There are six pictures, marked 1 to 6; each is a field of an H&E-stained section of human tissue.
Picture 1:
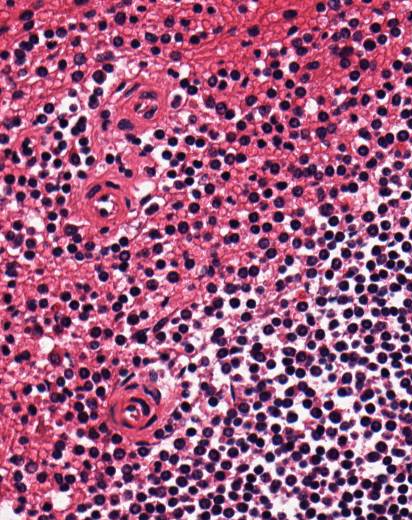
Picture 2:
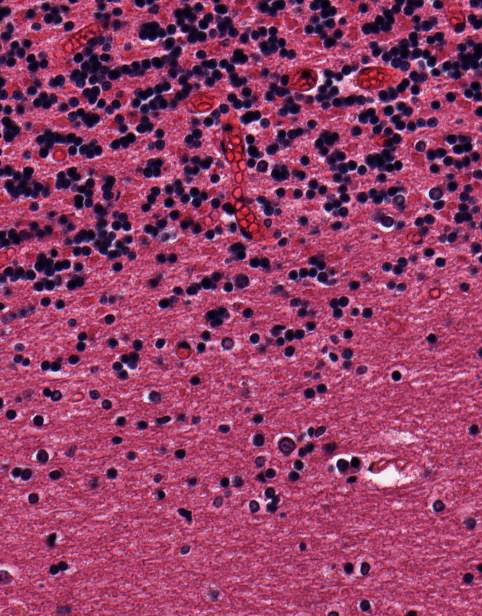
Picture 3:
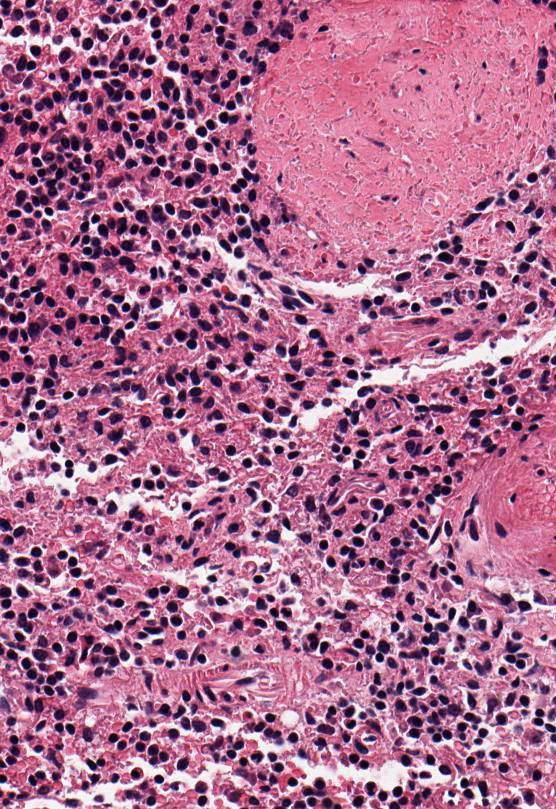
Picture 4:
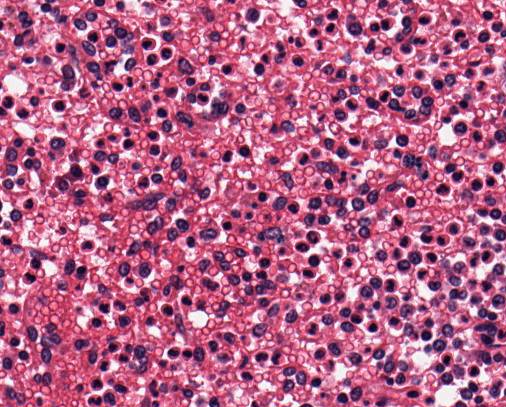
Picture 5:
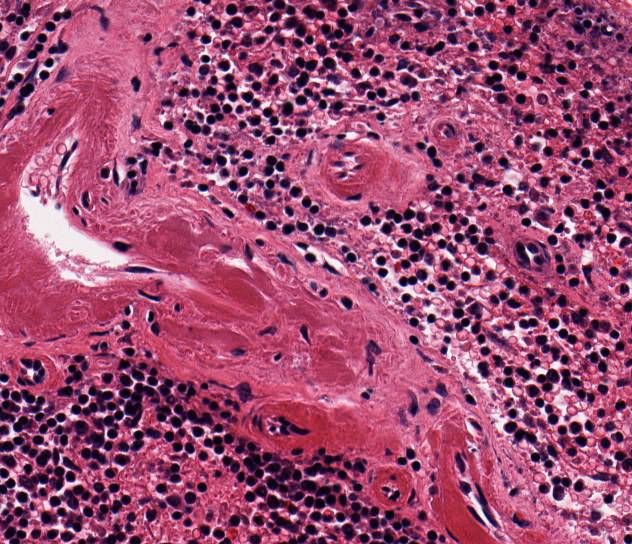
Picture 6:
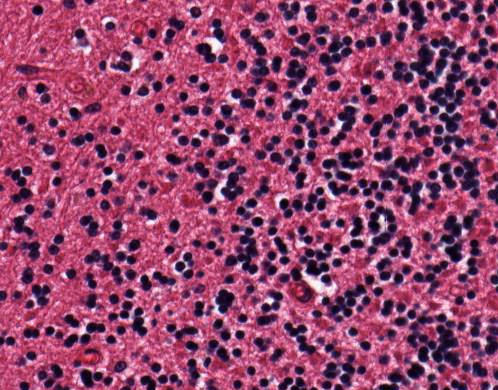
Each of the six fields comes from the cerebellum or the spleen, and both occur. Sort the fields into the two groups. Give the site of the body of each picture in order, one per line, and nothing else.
spleen
cerebellum
spleen
spleen
spleen
cerebellum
